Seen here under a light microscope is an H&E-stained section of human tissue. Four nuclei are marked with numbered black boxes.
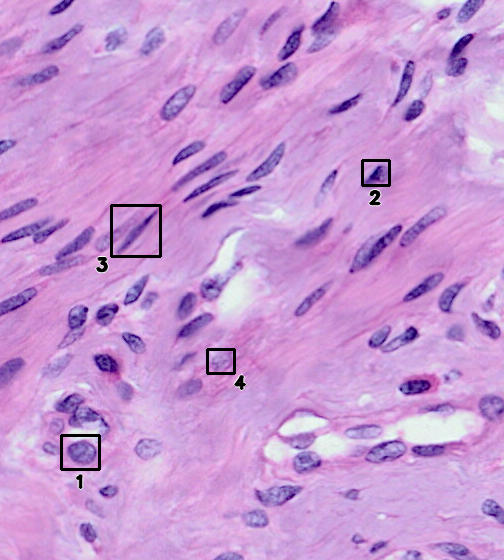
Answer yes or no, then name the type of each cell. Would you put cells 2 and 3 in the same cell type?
Yes, briefly put, cells 2 and 3 are both fibroblasts.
